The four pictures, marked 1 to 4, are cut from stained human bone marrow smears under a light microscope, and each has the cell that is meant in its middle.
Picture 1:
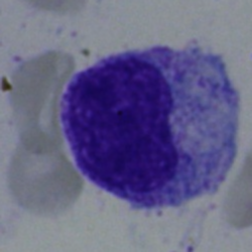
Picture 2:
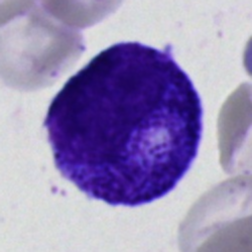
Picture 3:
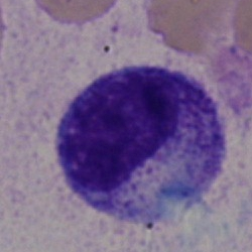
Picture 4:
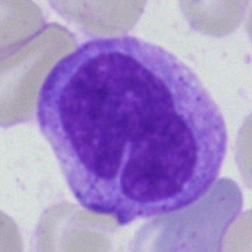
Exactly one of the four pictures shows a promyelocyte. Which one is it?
2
